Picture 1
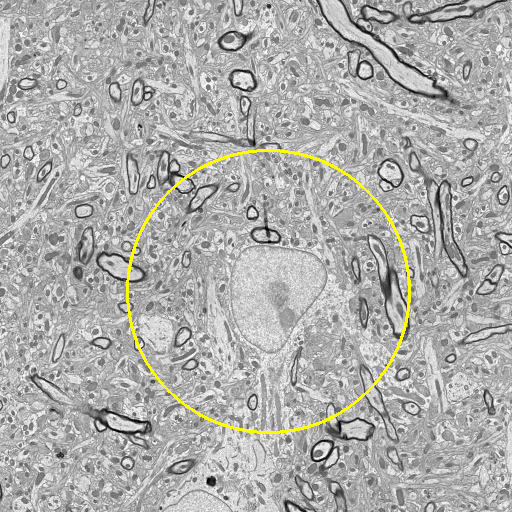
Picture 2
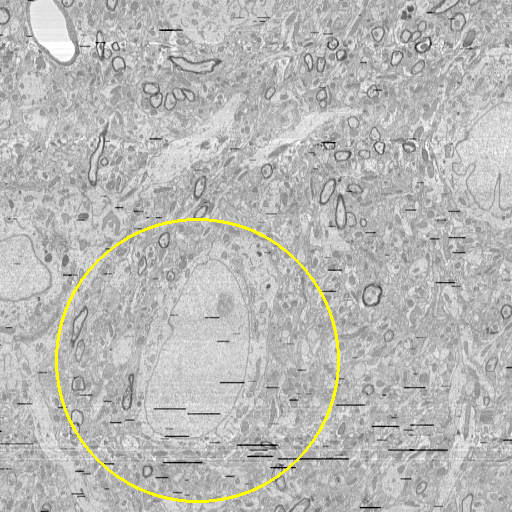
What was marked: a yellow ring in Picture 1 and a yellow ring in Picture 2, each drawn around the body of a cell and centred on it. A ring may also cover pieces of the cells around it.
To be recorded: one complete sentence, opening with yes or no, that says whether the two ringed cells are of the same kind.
No, the two ringed cells are of two kinds.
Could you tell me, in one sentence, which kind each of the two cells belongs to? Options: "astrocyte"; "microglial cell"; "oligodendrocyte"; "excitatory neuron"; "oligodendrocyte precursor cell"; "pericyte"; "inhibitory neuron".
At the centre of the first ring sits an astrocyte, and at the centre of the second sits an excitatory neuron.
